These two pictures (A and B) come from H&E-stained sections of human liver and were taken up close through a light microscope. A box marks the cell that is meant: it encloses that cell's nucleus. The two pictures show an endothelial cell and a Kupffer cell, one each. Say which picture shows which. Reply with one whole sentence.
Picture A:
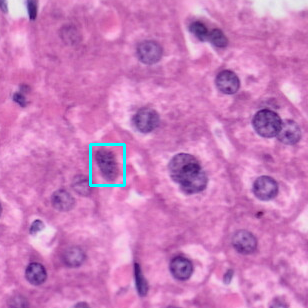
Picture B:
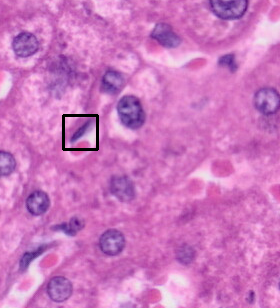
It is picture A that shows a Kupffer cell, and picture B that shows an endothelial cell.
